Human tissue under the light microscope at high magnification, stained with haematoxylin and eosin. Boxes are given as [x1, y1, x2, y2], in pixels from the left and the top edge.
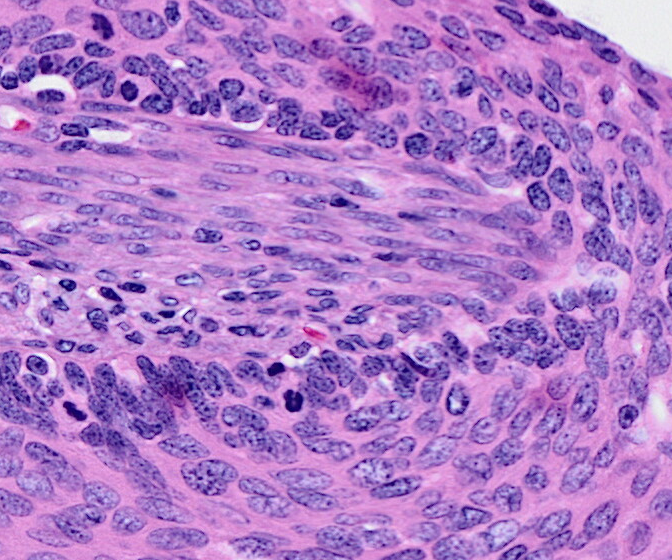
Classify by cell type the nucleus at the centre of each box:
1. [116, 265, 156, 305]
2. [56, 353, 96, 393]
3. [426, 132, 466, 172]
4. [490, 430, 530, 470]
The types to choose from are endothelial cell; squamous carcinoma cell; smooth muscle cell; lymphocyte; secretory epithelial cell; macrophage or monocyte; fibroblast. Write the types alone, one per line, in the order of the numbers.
lymphocyte
squamous carcinoma cell
squamous carcinoma cell
squamous carcinoma cell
